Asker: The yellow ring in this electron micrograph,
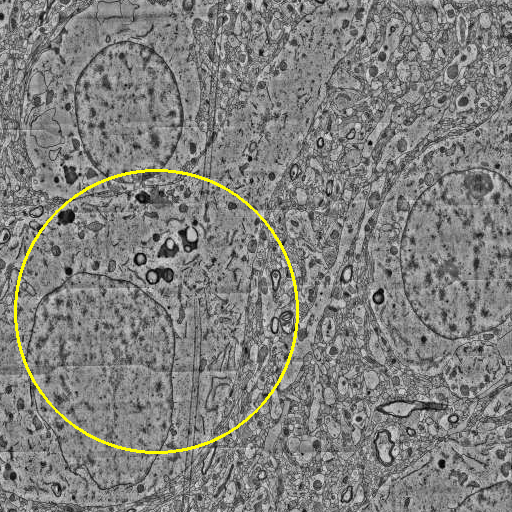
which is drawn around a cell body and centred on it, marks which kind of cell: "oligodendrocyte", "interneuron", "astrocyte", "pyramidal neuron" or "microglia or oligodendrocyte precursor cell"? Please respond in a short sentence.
The marked cell is a pyramidal neuron.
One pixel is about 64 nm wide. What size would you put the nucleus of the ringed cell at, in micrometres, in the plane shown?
In this plane, roughly 14 by 10 micrometres.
